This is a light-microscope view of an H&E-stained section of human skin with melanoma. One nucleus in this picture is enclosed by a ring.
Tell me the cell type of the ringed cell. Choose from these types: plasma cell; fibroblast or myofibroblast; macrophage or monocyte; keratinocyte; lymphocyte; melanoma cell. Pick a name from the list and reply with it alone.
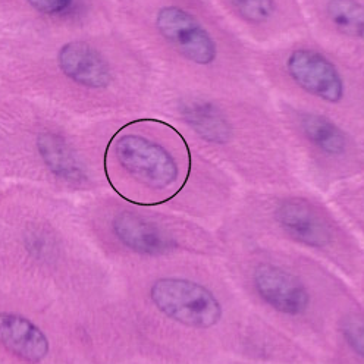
keratinocyte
